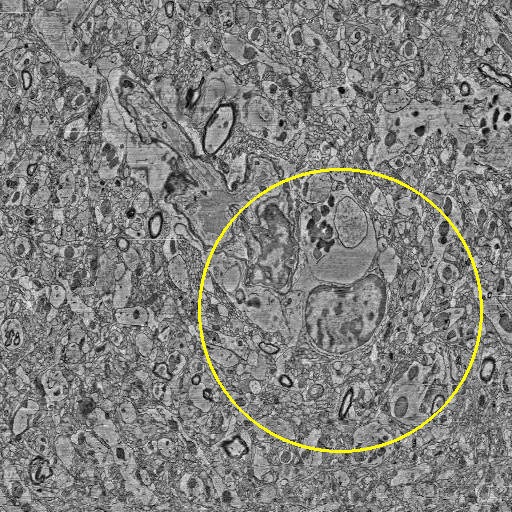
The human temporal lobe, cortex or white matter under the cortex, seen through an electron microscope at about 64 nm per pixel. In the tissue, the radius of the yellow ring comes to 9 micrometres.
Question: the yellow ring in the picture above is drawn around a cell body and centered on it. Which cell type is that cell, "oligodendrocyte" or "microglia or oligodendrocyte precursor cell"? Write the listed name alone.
microglia or oligodendrocyte precursor cell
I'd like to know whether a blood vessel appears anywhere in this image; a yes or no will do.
Yes, there is one.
